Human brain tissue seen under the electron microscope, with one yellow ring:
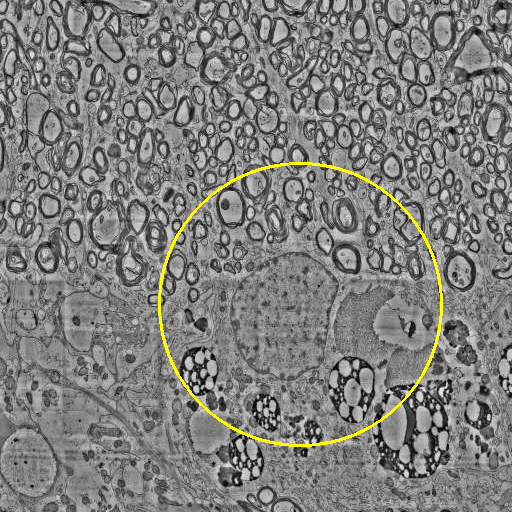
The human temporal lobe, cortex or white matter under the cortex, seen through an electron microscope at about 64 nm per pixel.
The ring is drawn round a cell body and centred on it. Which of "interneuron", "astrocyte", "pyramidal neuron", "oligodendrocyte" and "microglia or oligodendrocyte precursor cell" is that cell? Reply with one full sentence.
The picture shows an astrocyte at the very centre of the yellow ring.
